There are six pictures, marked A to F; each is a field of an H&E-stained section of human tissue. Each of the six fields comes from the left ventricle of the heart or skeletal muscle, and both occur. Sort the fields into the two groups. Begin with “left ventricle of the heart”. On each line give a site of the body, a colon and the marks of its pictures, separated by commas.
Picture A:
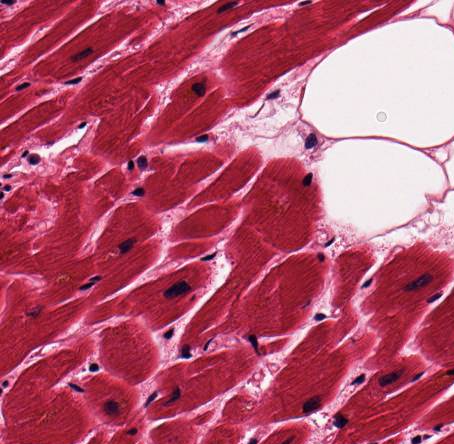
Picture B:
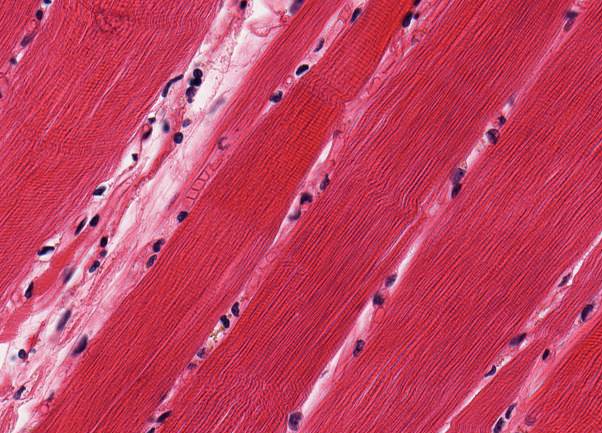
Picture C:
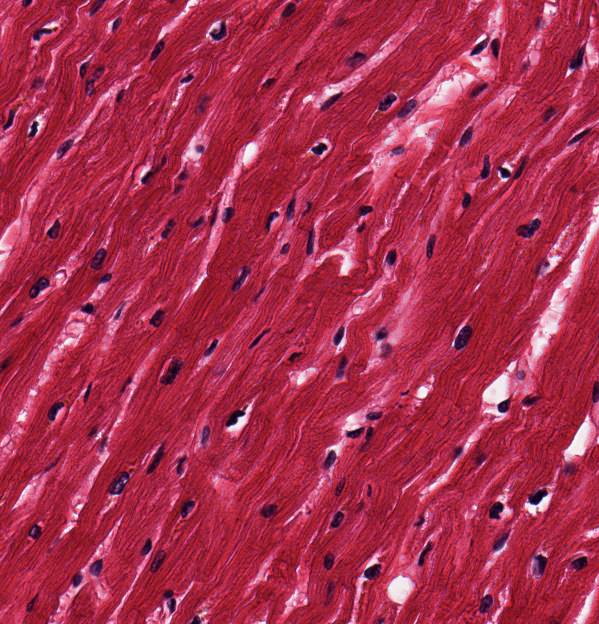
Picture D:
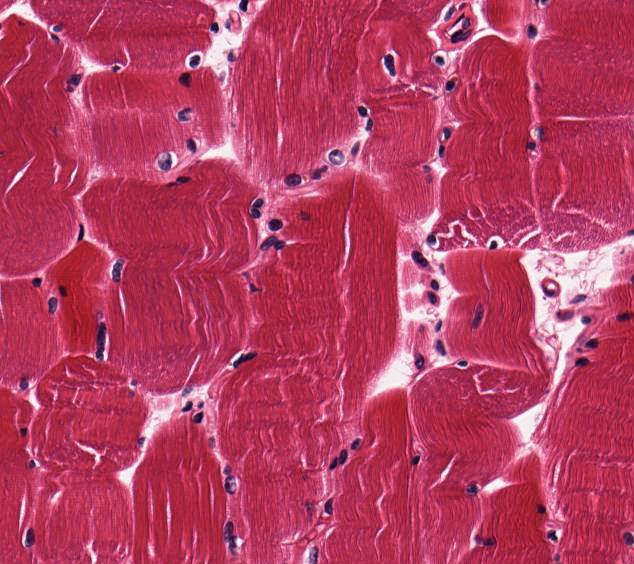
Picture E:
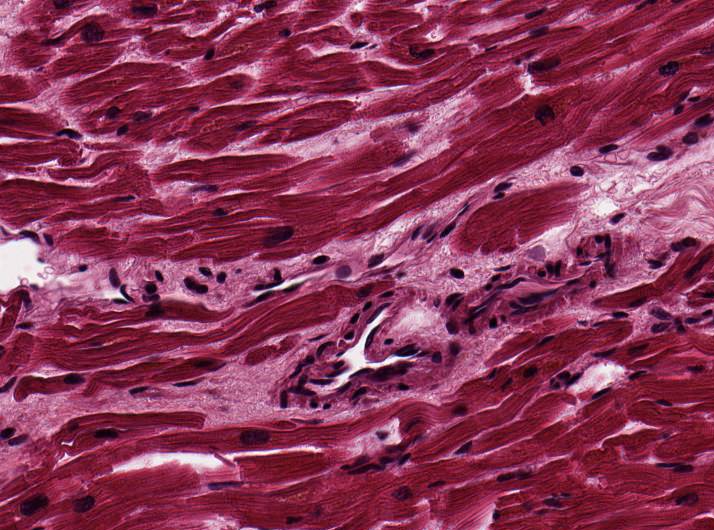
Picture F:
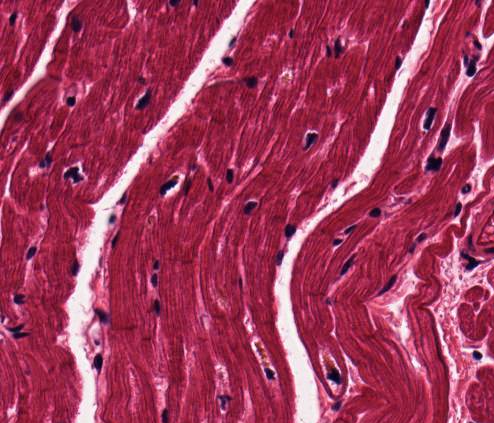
left ventricle of the heart: A, C, E, F
skeletal muscle: B, D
